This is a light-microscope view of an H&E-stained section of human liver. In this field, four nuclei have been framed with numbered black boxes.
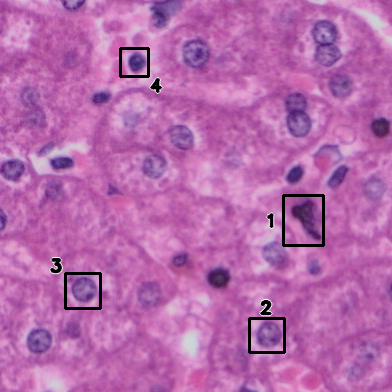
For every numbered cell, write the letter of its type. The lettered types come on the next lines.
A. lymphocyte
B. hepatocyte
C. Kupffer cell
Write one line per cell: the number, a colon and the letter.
1: C
2: B
3: B
4: A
